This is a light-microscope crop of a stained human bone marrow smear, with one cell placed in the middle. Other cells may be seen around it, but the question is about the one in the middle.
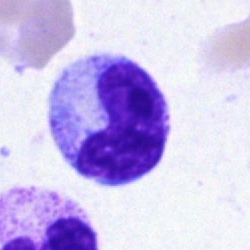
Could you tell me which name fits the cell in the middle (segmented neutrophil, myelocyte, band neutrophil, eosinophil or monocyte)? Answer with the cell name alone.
band neutrophil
